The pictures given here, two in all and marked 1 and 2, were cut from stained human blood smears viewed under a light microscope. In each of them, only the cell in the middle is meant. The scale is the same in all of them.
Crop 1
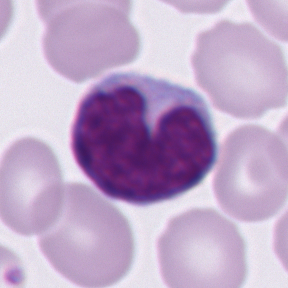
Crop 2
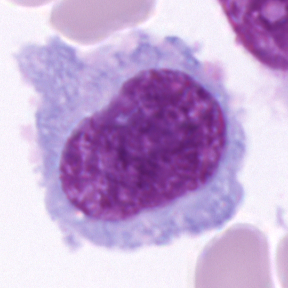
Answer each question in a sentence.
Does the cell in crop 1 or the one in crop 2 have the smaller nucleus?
It is the nucleus in crop 1; the one in crop 2 has about 1.5 times its area.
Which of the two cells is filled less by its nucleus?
In crop 2 the nucleus takes up the smaller part of its cell.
